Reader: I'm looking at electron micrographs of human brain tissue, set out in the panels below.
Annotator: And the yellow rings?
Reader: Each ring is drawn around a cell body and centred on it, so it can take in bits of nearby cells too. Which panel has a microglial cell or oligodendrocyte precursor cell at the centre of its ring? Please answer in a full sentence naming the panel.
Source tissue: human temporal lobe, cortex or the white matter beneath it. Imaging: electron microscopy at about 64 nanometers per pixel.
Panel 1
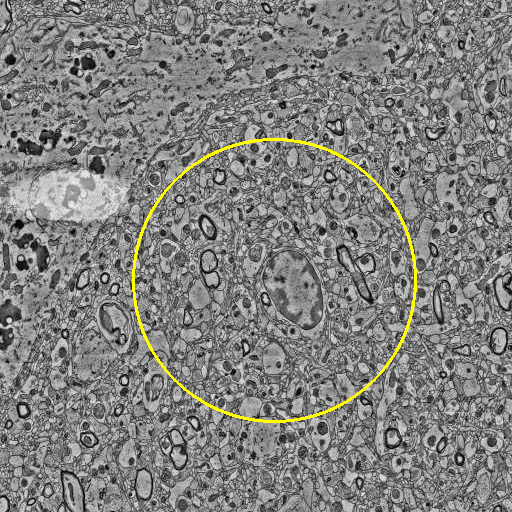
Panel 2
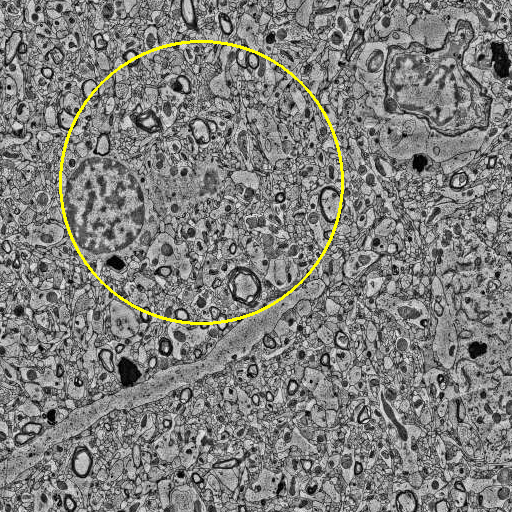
Panel 1 has it at the centre of its ring.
